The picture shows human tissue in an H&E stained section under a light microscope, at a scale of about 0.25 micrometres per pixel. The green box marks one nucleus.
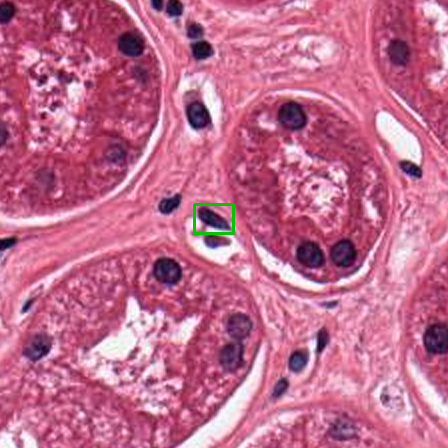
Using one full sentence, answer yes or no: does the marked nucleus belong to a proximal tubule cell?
No, a supporting cell, not a proximal tubule cell, carries the marked nucleus.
